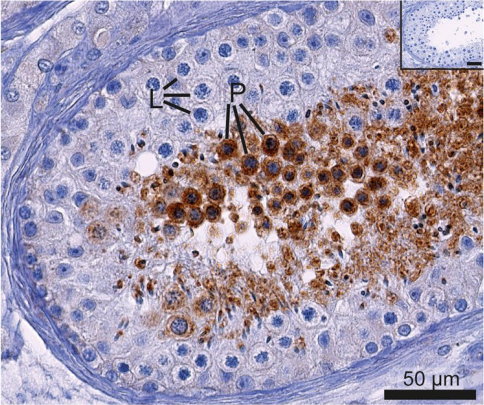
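A seminiferous tubule is cut across, bounded by a thin layered wall of flattened blue cells. Near the wall lie rows of germ cells with round blue nuclei and pale, unstained cytoplasm; some are early spermatocytes. Toward the centre, large round late spermatocytes with coarse chromatin have dark brown cytoplasm, and beyond them many small round and elongated spermatids near the lumen are also brown. The staining thus rises sharply from the base to the lumen of the epithelium, leaving the basal compartment blue.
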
